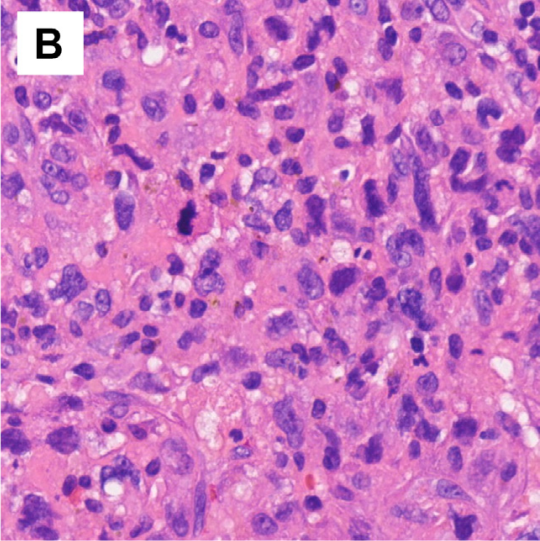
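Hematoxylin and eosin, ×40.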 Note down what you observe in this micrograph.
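Sheet of atypical cells with large, pleomorphic nuclei in pink cytoplasm. Nuclei vary greatly in size and shape, from oval to elongated and irregular, many darkly staining and some with visible nucleoli. A dark, clumped mitotic figure lies near the upper centre. Small clear vacuoles are scattered among the cells.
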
